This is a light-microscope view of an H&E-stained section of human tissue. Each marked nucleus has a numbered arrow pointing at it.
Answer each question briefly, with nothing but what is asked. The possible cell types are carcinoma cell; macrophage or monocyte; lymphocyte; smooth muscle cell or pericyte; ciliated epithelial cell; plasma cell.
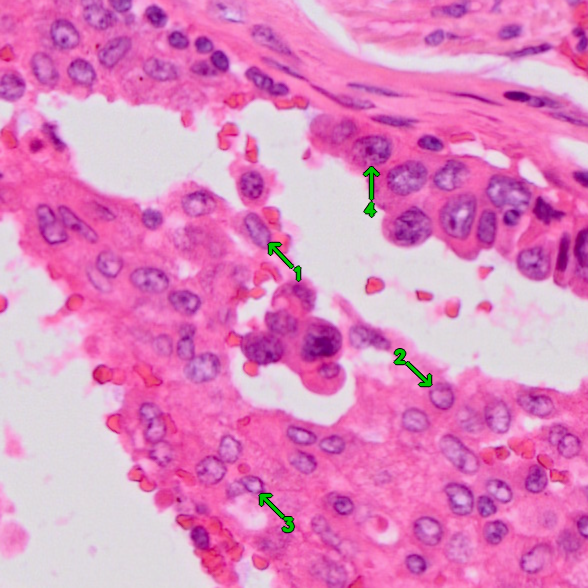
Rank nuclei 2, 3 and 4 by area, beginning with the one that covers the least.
3, 2, 4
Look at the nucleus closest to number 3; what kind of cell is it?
macrophage or monocyte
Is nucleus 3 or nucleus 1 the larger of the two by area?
1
